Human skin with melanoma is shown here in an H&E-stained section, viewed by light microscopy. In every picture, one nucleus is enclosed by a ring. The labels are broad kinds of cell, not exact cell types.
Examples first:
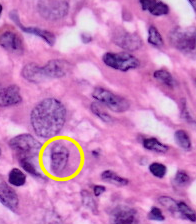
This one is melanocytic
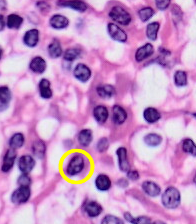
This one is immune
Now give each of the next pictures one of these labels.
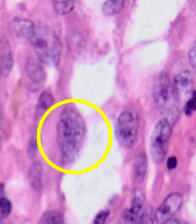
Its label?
melanocytic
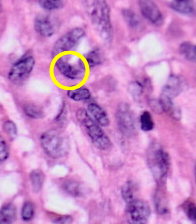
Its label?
melanocytic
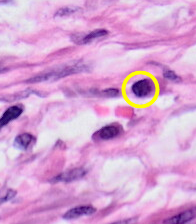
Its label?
immune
